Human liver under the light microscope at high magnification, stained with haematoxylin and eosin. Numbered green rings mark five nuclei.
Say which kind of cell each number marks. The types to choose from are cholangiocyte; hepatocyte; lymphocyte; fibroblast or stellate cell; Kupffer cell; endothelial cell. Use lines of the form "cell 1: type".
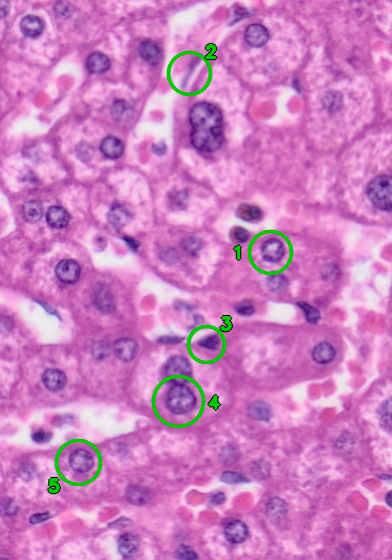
cell 1: hepatocyte
cell 2: Kupffer cell
cell 3: fibroblast or stellate cell
cell 4: hepatocyte
cell 5: hepatocyte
